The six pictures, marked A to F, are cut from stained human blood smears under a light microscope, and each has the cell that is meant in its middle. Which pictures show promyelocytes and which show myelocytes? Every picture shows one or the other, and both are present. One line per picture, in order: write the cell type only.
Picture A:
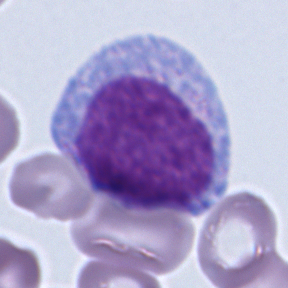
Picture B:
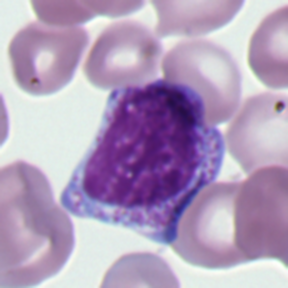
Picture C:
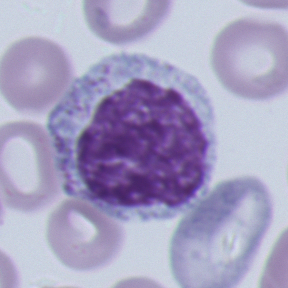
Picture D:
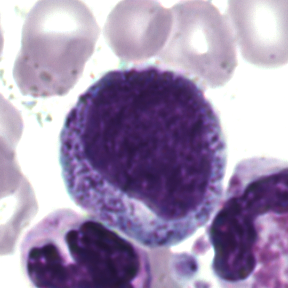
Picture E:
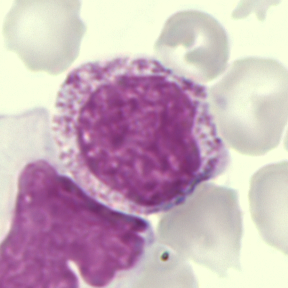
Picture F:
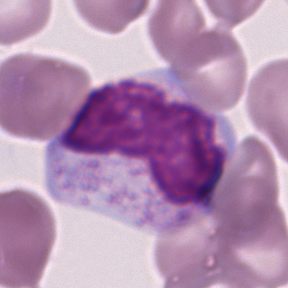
promyelocyte
myelocyte
myelocyte
promyelocyte
myelocyte
myelocyte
